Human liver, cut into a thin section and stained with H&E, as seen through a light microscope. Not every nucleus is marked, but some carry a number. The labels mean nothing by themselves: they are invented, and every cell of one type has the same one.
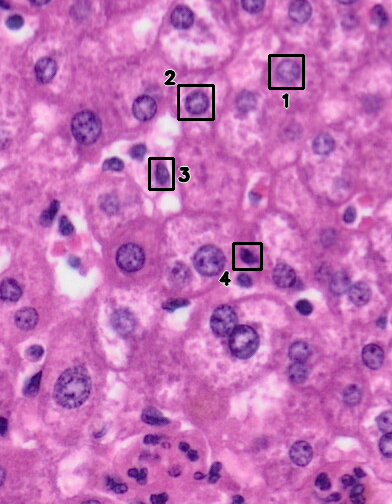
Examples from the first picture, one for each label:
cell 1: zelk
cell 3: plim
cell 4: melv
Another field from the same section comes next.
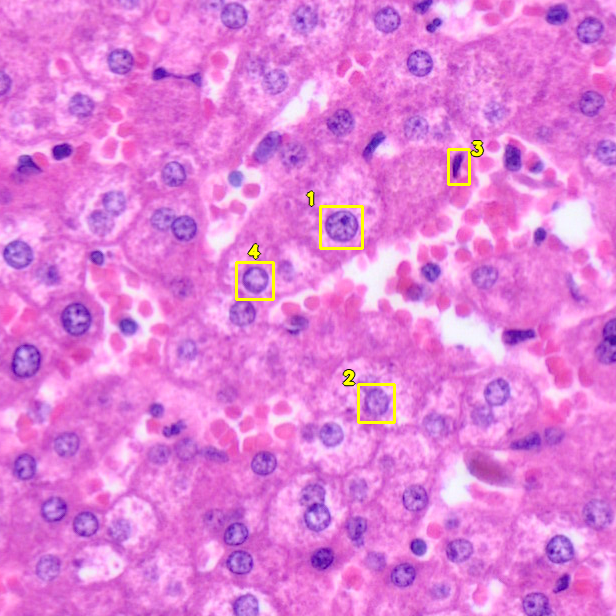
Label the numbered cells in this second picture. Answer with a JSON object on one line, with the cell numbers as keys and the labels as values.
{"1": "zelk", "2": "zelk", "3": "melv", "4": "zelk"}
